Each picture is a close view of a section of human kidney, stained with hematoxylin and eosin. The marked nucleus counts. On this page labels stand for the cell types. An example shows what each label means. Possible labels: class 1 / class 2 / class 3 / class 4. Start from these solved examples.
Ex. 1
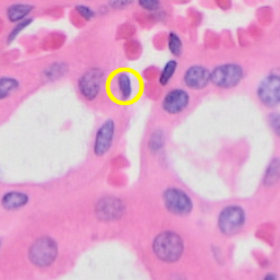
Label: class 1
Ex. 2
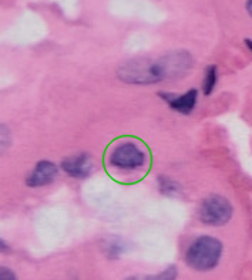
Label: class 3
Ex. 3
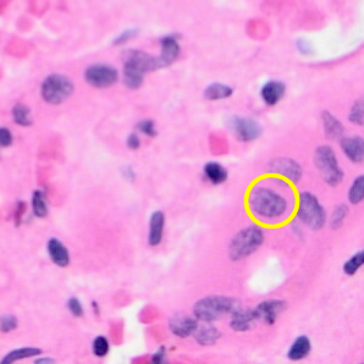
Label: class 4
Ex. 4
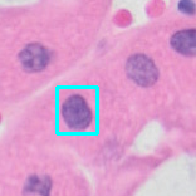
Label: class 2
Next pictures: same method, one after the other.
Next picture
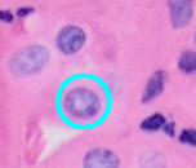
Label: class 4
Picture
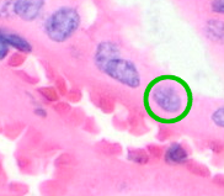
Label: class 4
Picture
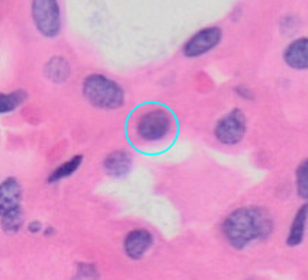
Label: class 3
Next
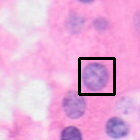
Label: class 2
